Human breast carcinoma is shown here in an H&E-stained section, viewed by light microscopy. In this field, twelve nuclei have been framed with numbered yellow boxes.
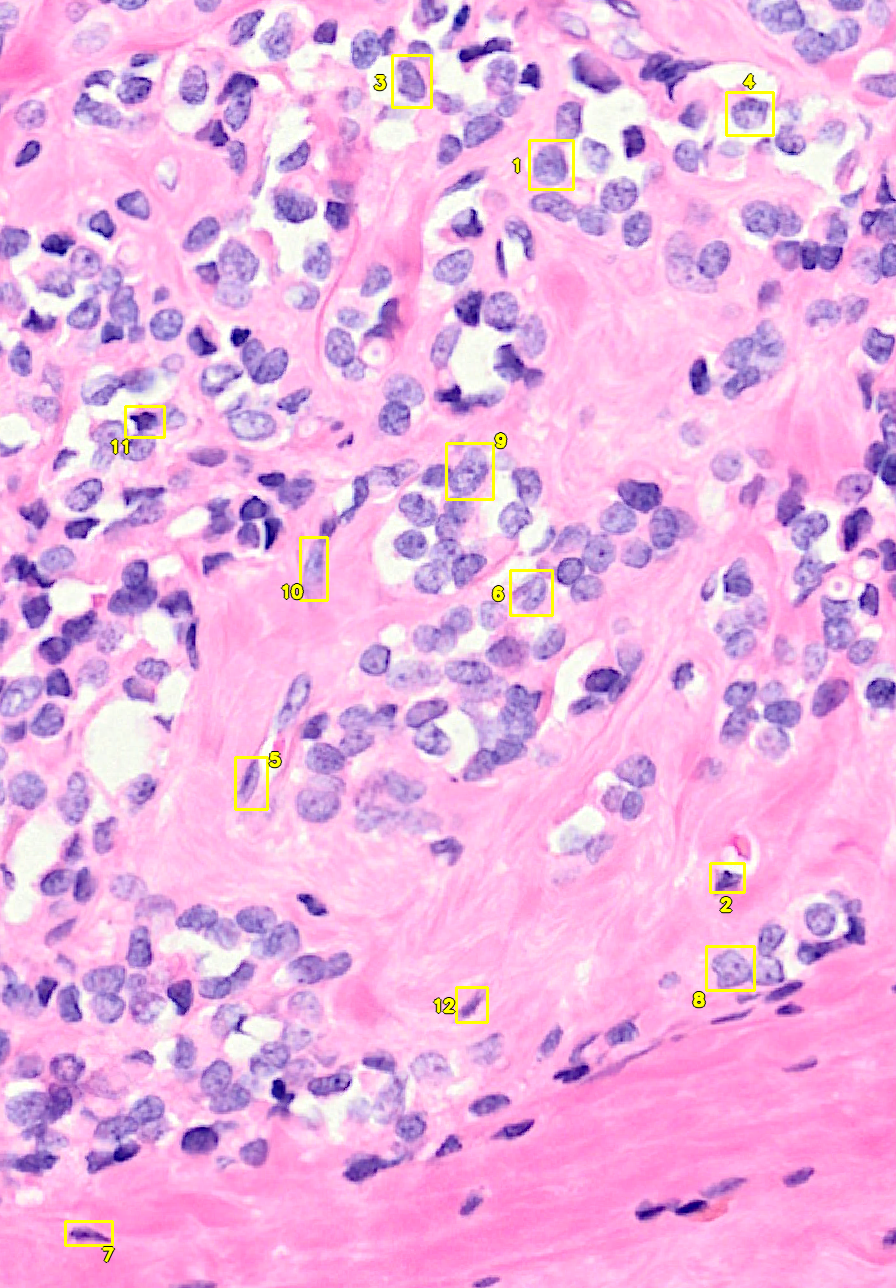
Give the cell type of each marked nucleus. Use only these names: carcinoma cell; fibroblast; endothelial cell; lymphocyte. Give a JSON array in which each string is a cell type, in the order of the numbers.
["carcinoma cell", "endothelial cell", "carcinoma cell", "carcinoma cell", "endothelial cell", "carcinoma cell", "fibroblast", "carcinoma cell", "carcinoma cell", "endothelial cell", "carcinoma cell", "fibroblast"]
